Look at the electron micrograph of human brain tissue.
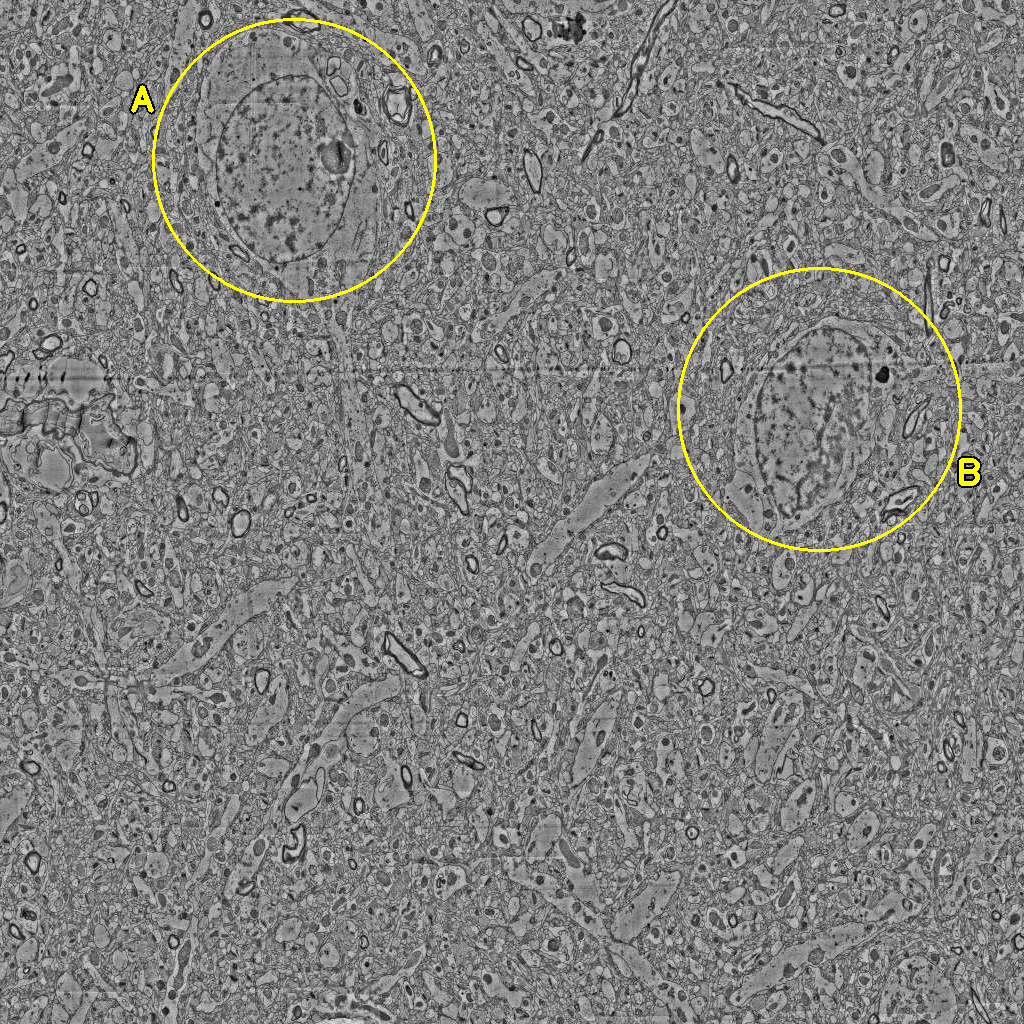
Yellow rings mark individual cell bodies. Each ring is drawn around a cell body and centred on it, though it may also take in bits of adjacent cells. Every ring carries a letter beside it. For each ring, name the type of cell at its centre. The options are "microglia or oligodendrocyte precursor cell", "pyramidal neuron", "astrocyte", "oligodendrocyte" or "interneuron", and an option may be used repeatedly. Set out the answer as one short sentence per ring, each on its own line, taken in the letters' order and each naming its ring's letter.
Ring A is drawn around a pyramidal neuron.
Ring B is drawn around an interneuron.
